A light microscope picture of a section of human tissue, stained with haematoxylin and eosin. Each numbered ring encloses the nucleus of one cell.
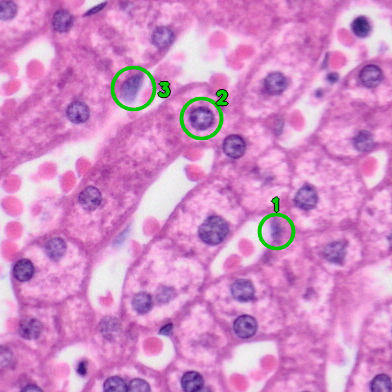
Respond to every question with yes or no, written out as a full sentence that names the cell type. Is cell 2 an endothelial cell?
No, as for cell 2, it is a hepatocyte and not an endothelial cell.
